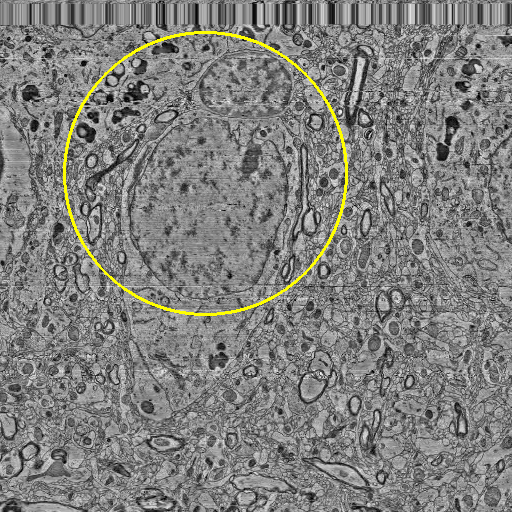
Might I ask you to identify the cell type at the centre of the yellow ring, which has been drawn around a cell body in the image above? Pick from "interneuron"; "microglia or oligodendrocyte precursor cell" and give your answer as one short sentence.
The centre of the ring falls on an interneuron.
